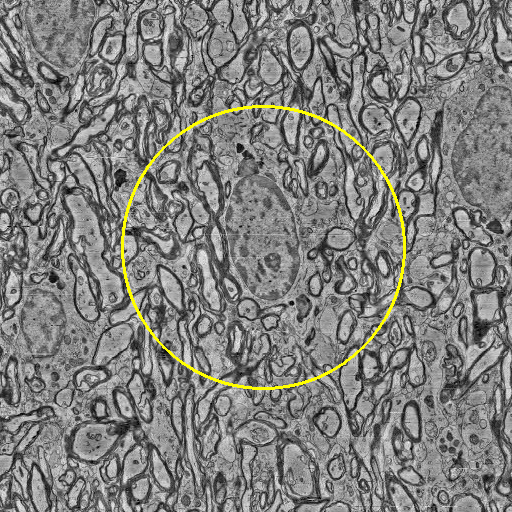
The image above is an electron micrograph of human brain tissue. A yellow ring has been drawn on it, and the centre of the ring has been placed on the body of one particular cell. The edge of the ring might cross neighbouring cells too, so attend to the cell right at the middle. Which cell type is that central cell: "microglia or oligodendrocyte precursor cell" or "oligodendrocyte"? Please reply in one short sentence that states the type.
The central cell in the ring is a microglial cell or oligodendrocyte precursor cell.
